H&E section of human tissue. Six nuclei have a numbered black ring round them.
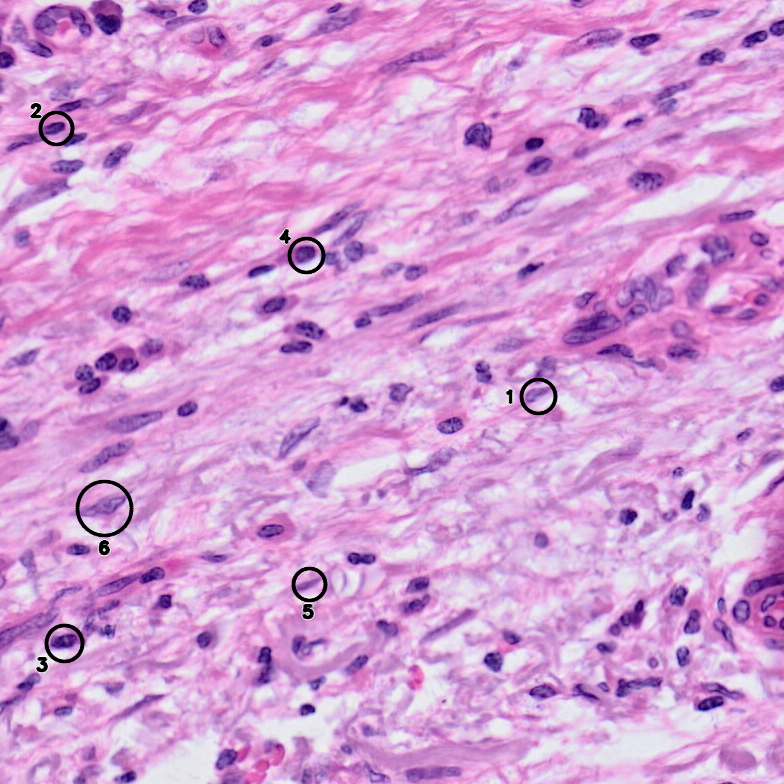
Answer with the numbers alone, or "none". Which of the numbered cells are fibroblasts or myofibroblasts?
1, 5, 6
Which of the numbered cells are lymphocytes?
2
